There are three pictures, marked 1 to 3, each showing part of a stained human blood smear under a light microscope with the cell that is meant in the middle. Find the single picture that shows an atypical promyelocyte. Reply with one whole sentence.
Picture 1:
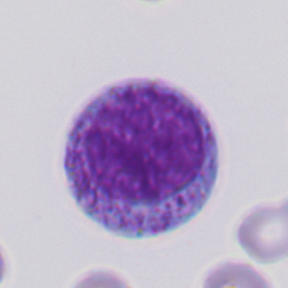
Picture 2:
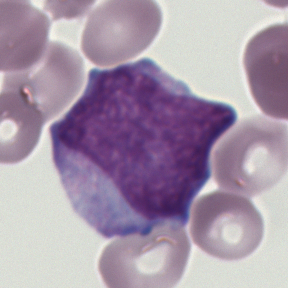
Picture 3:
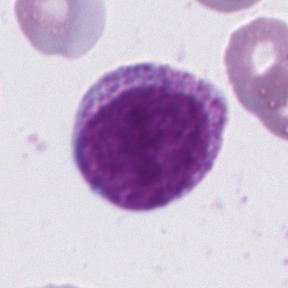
The cell in picture 2 is the atypical promyelocyte.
